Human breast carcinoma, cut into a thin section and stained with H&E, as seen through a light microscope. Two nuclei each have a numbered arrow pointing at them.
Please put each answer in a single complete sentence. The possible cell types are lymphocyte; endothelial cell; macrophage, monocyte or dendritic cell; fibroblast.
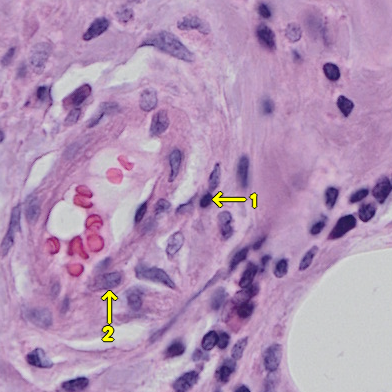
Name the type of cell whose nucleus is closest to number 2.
The nucleus nearest to number 2 is that of an endothelial cell.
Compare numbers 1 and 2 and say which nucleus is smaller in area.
Nucleus 1 covers less area, with nucleus 2 about 1.5 times as large.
